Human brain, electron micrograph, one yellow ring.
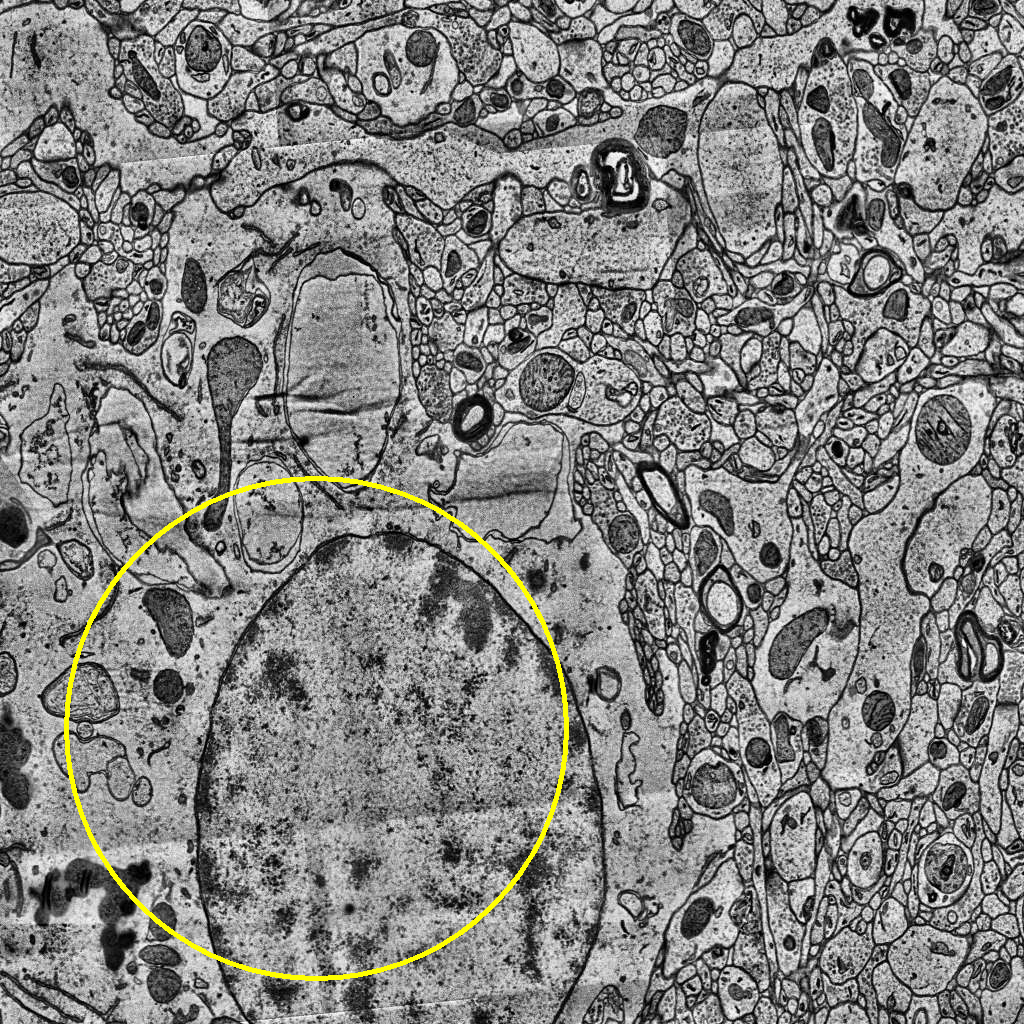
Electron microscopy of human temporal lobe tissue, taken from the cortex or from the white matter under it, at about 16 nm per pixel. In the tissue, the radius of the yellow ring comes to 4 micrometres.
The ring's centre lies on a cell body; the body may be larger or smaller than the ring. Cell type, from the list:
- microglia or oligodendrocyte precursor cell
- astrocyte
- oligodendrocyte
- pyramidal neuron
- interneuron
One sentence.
The yellow ring's centre lies on an astrocyte.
